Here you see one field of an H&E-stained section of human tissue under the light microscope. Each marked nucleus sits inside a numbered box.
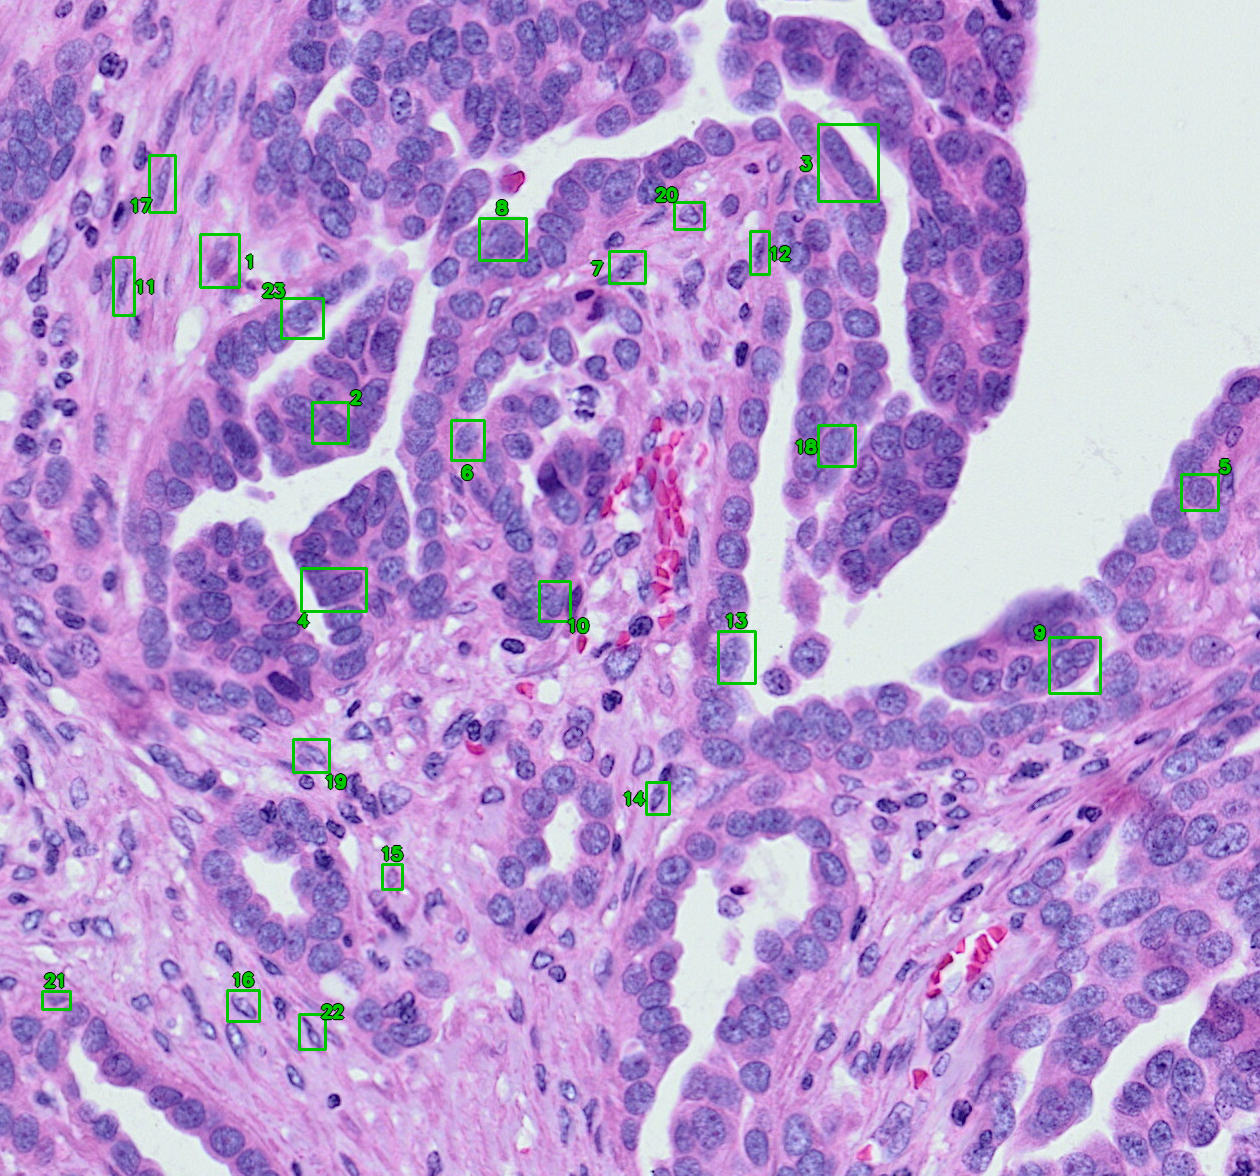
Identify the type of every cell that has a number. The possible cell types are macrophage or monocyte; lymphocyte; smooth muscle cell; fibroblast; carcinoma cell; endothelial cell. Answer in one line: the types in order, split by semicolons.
fibroblast; carcinoma cell; carcinoma cell; carcinoma cell; carcinoma cell; carcinoma cell; fibroblast; carcinoma cell; carcinoma cell; carcinoma cell; fibroblast; fibroblast; carcinoma cell; fibroblast; fibroblast; fibroblast; fibroblast; carcinoma cell; fibroblast; fibroblast; fibroblast; fibroblast; carcinoma cell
